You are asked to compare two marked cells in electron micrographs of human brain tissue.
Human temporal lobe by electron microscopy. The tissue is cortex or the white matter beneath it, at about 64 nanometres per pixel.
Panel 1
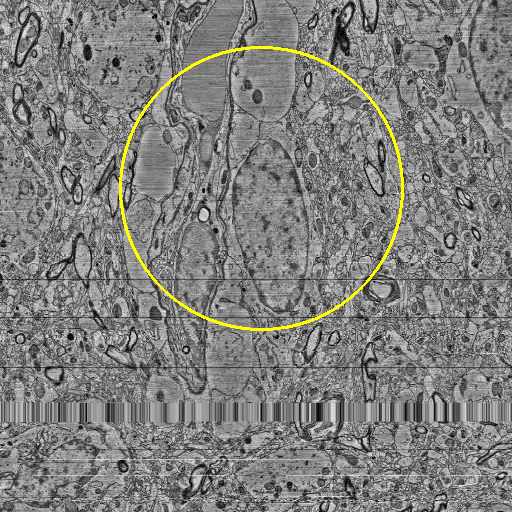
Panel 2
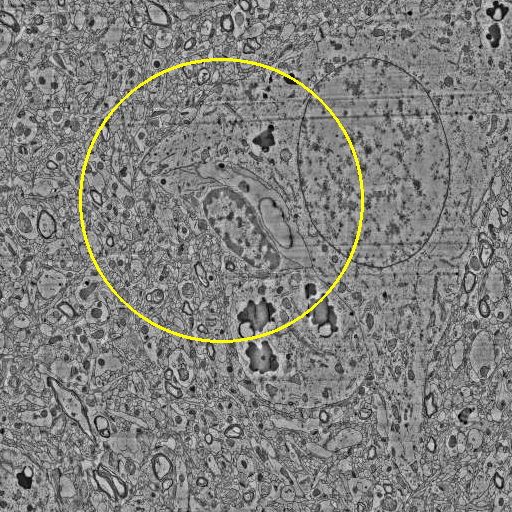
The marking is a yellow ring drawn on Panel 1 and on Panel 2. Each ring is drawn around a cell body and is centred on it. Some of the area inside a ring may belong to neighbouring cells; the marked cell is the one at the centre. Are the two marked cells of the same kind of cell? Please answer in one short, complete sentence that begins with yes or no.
Yes, the two marked cells are of the same kind.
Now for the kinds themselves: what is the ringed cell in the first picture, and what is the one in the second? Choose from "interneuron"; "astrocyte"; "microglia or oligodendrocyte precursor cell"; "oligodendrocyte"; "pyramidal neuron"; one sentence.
The cell in the first picture is a microglial cell or oligodendrocyte precursor cell, and so is the one in the second.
